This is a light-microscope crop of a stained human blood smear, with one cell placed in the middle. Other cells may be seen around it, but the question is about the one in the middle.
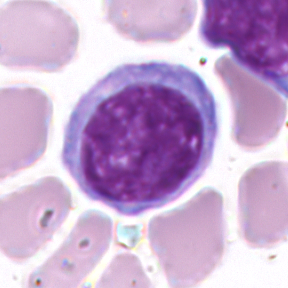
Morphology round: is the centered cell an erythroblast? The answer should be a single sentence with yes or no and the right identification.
No, it is not an erythroblast that lies in the middle but a plasma cell.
